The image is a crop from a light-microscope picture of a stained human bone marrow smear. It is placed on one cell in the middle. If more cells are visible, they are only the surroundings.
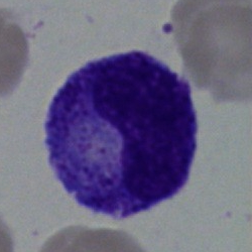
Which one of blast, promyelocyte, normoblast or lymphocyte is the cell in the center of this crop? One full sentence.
The cell in the middle of the field of view is a promyelocyte.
